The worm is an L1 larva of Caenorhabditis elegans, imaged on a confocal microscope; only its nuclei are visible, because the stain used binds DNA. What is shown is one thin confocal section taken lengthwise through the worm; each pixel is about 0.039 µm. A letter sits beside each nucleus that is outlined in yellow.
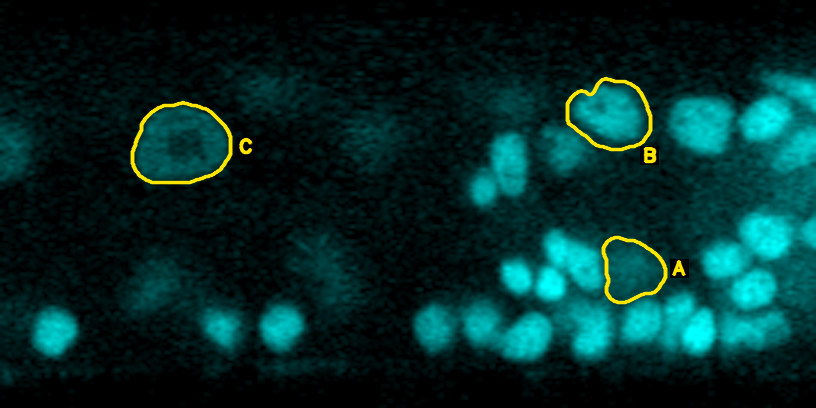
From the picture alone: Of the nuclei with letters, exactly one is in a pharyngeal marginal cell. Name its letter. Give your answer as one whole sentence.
Nucleus A belongs to a pharyngeal marginal cell.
